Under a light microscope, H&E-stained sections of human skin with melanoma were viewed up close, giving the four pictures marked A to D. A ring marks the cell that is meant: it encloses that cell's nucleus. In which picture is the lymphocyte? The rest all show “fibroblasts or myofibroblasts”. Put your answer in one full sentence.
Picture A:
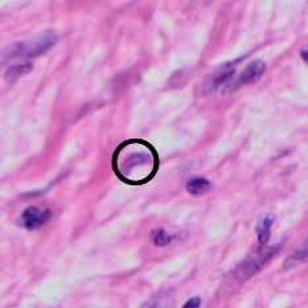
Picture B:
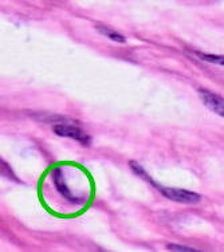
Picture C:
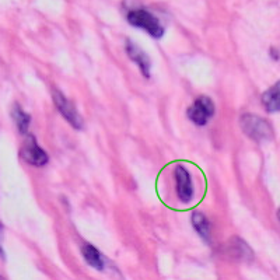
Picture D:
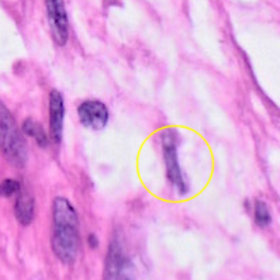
The cell in picture C is the lymphocyte.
